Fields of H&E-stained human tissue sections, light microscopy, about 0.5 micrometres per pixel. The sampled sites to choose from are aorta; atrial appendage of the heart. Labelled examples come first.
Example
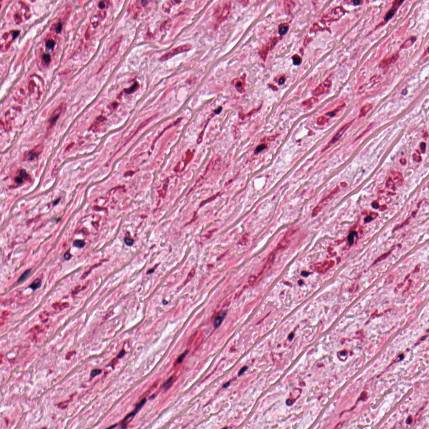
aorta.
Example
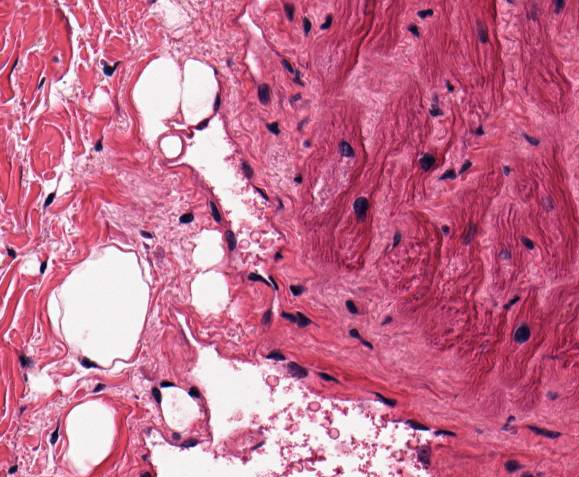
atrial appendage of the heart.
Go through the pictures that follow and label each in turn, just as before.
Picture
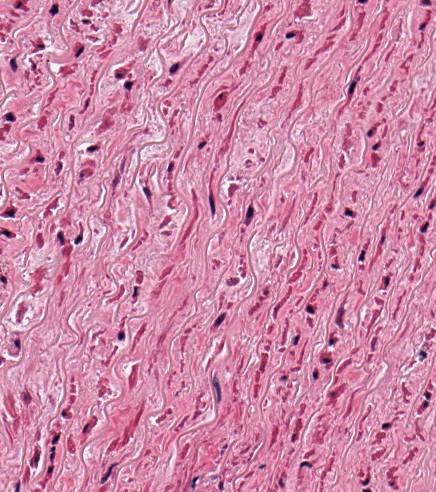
aorta.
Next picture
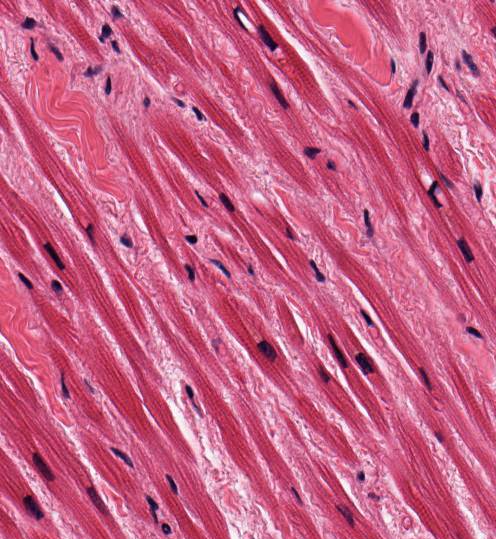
atrial appendage of the heart.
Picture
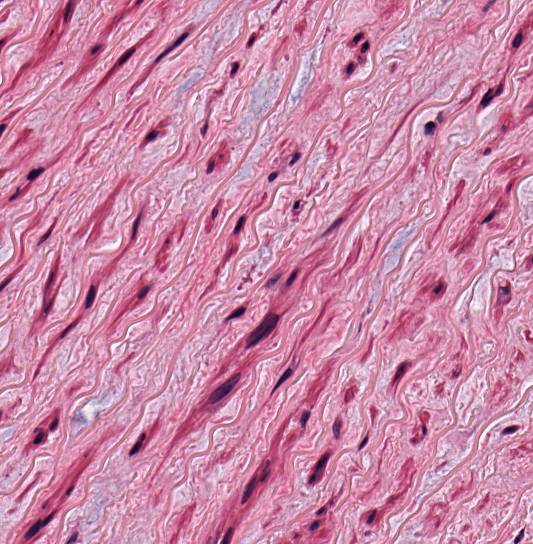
aorta.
